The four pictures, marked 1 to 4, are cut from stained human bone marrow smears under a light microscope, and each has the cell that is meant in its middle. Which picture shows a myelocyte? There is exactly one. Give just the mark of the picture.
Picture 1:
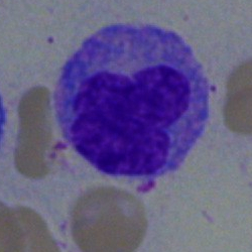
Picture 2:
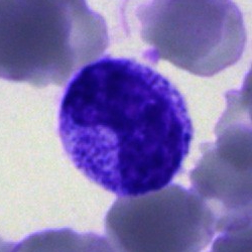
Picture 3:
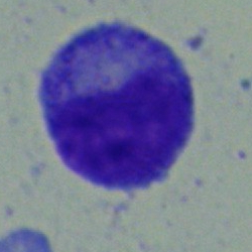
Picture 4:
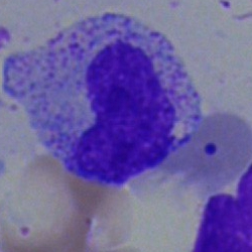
3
